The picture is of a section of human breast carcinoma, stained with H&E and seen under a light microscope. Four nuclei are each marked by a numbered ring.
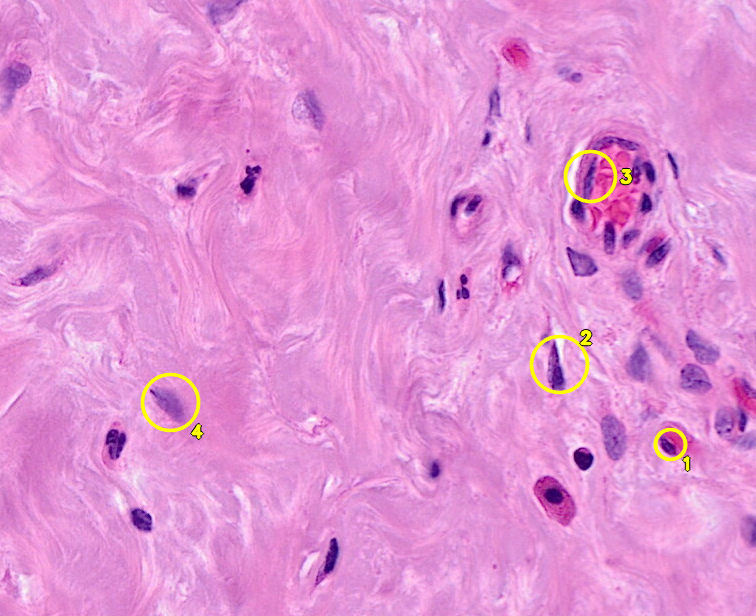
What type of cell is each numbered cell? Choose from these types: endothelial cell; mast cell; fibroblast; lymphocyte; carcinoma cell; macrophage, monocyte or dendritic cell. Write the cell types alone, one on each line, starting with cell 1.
endothelial cell
fibroblast
endothelial cell
fibroblast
